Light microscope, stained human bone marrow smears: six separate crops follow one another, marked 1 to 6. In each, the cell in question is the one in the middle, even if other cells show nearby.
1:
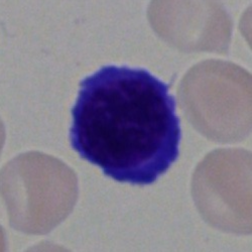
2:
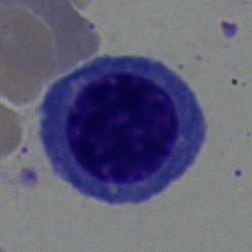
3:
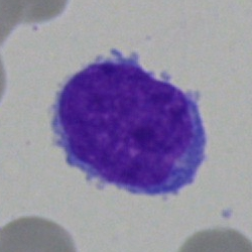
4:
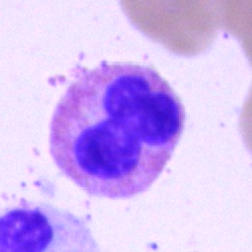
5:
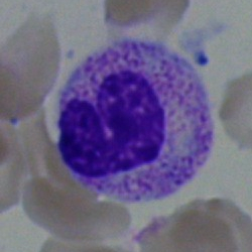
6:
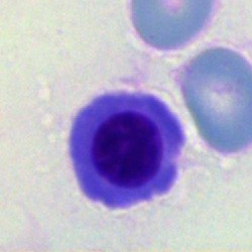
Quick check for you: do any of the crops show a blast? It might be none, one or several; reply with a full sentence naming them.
Crop 3 and no other crop shows a blast.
